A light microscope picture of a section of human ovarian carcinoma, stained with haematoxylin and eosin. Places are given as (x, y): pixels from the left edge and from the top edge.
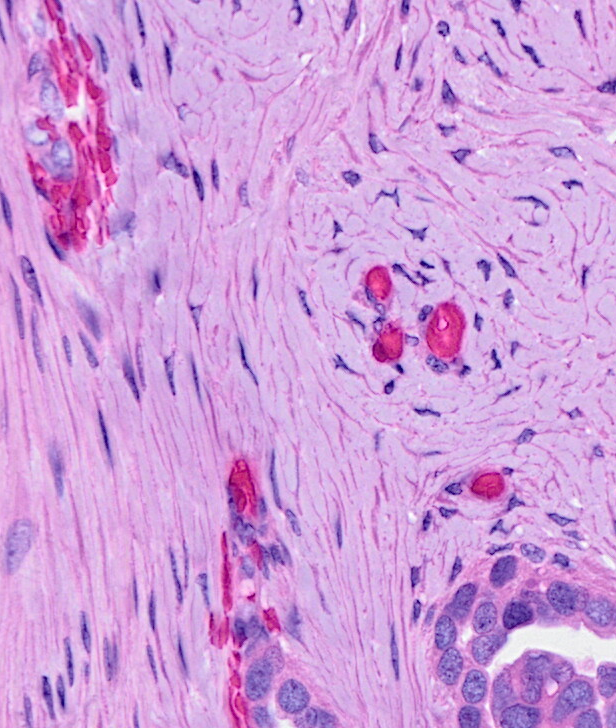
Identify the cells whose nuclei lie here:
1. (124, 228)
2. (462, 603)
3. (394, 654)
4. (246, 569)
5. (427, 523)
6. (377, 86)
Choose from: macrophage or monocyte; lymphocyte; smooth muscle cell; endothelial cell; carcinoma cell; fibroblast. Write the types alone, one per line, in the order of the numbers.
fibroblast
carcinoma cell
fibroblast
endothelial cell
fibroblast
fibroblast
